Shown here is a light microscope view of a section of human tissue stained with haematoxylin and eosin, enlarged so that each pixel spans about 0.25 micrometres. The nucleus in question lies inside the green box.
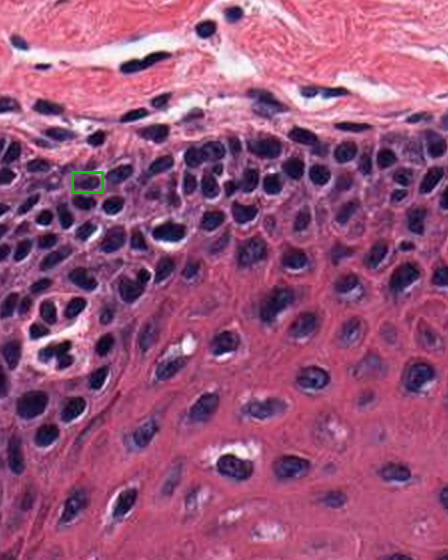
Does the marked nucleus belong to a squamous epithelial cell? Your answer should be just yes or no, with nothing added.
yes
